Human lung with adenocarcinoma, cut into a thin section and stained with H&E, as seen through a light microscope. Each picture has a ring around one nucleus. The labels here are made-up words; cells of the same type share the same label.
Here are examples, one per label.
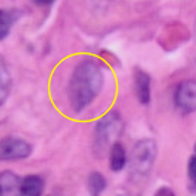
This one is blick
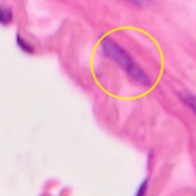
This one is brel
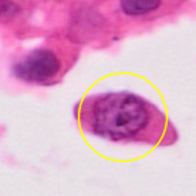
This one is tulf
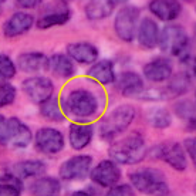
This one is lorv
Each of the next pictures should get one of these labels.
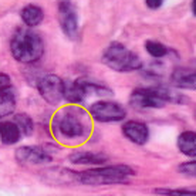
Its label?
lorv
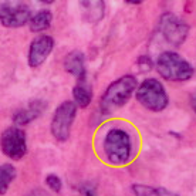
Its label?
lorv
